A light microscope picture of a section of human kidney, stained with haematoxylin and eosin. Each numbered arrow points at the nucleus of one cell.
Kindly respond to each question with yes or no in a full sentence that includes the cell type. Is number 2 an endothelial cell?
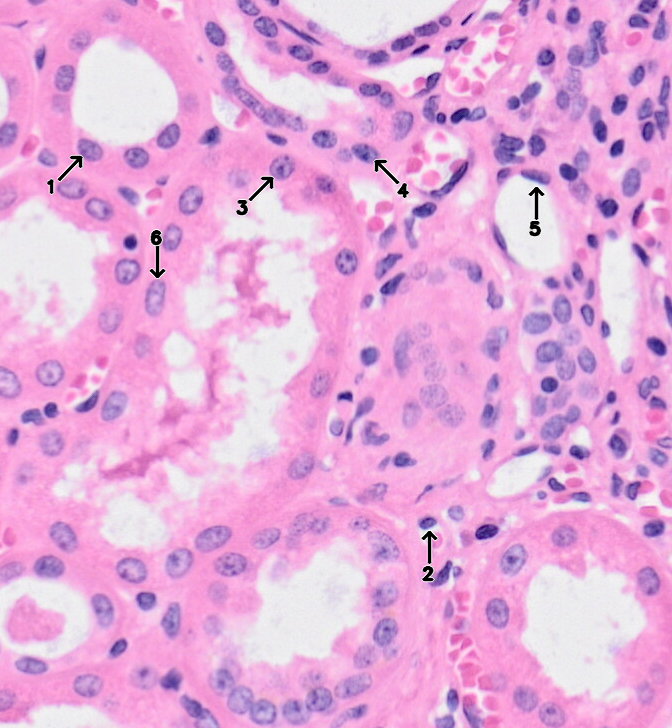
Yes, the cell corresponding to number 2 is an endothelial cell.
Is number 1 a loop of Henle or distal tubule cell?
Yes, so the cell at label 1 is a loop of Henle or distal tubule cell.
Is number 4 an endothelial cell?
No, number 4 is not an endothelial cell; it is a collecting duct cell.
